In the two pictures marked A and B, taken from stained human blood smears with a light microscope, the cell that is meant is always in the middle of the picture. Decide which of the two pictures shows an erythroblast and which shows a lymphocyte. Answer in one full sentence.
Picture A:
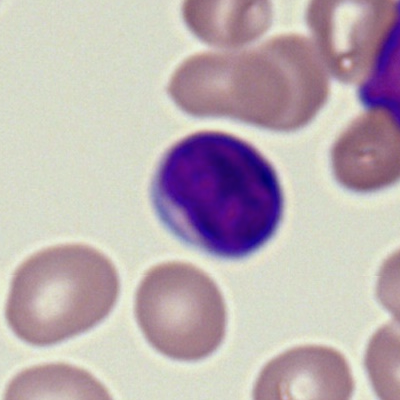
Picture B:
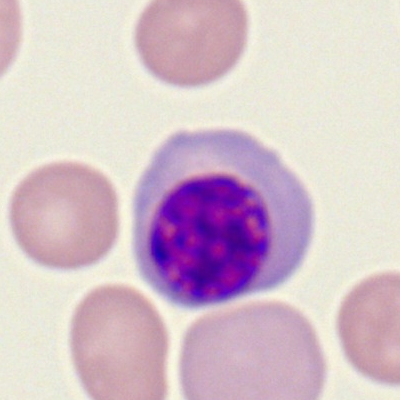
Picture A shows a lymphocyte and picture B shows an erythroblast.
